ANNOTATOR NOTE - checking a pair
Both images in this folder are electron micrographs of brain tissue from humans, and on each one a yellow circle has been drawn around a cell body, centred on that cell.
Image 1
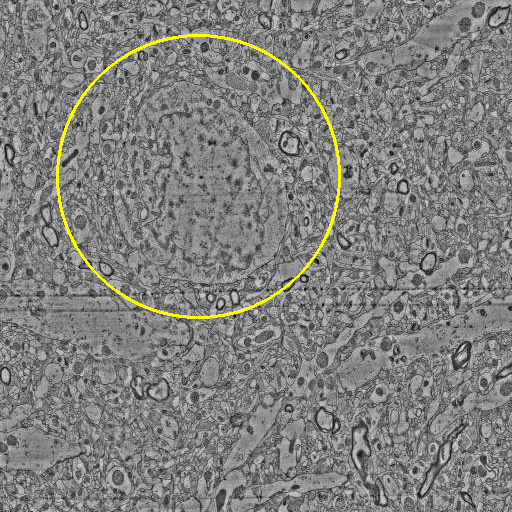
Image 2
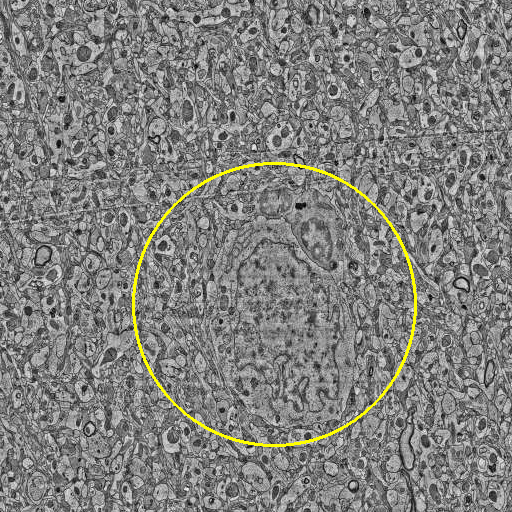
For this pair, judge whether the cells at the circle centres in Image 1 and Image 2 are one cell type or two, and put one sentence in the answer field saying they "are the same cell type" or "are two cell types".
For this pair, the cells at the circle centres in Images 1 and 2 are the same cell type.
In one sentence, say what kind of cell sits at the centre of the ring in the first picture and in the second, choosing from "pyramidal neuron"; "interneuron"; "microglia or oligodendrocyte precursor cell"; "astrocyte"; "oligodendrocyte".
Both cells are the same kind, each one being an interneuron.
